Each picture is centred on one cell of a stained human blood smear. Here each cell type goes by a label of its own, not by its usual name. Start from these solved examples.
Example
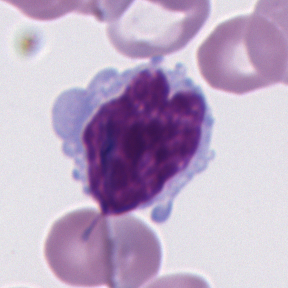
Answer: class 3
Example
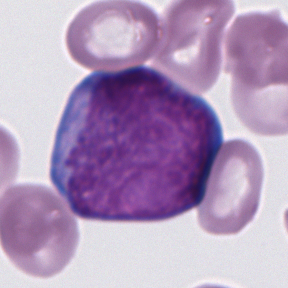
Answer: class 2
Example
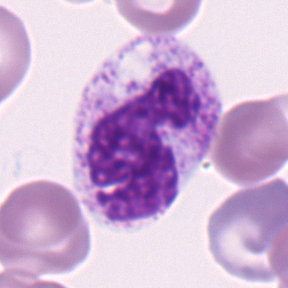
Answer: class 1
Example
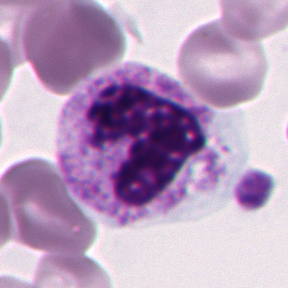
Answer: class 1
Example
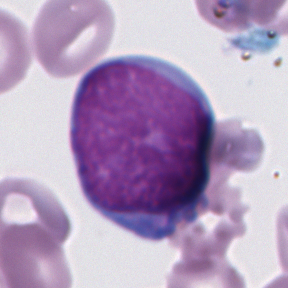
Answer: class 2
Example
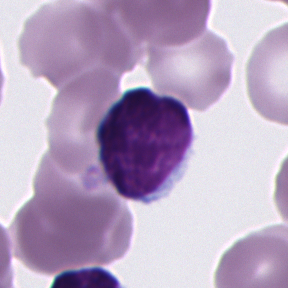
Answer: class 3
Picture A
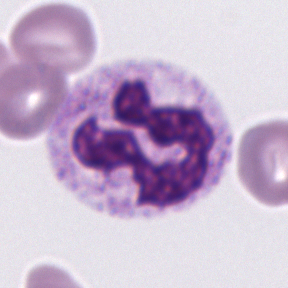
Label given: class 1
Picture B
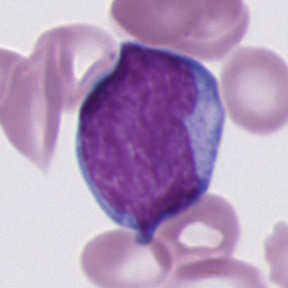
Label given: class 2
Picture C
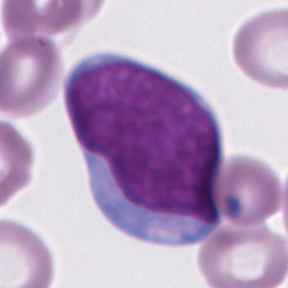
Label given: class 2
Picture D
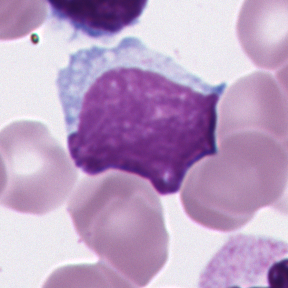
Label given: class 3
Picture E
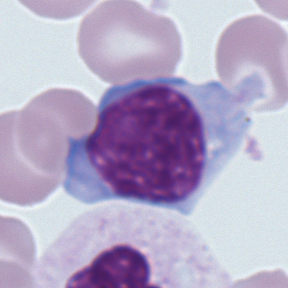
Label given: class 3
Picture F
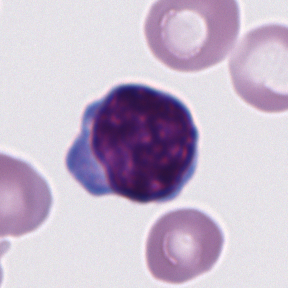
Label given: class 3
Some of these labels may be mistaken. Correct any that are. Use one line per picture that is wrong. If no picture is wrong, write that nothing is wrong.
Nothing to fix; every label fits.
